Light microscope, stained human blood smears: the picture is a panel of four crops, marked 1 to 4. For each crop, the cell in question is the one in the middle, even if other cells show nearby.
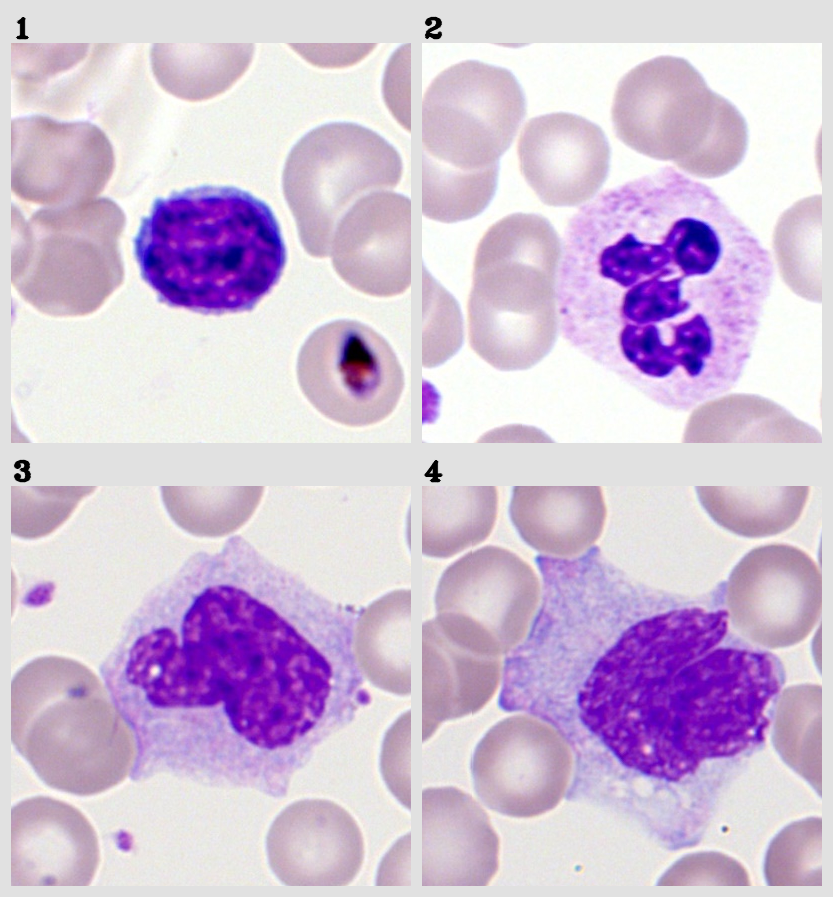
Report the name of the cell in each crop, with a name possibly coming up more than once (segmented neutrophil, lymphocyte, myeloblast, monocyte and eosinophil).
1: lymphocyte
2: segmented neutrophil
3: monocyte
4: monocyte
